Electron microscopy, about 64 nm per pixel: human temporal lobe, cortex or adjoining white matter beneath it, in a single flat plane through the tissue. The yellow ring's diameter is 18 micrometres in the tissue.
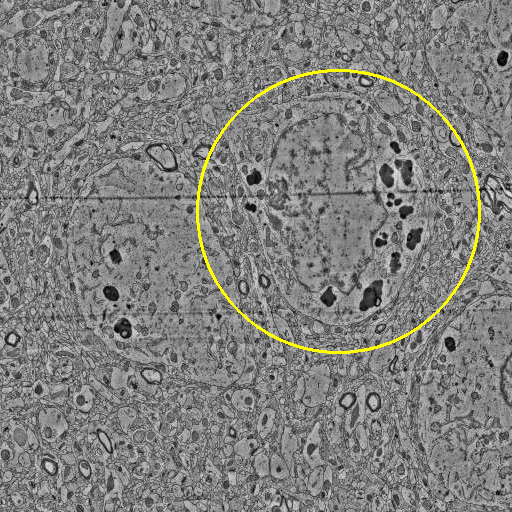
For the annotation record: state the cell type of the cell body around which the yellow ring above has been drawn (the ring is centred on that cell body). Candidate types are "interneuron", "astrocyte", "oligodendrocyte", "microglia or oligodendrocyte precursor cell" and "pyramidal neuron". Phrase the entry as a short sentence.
The ringed cell is an interneuron.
